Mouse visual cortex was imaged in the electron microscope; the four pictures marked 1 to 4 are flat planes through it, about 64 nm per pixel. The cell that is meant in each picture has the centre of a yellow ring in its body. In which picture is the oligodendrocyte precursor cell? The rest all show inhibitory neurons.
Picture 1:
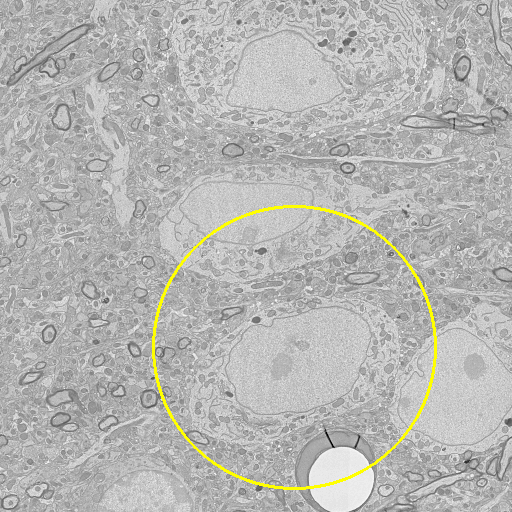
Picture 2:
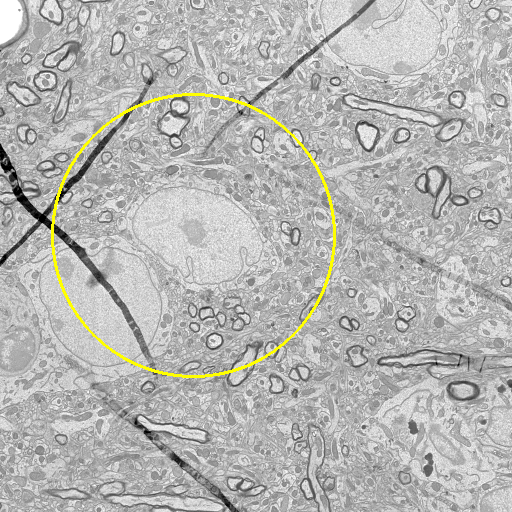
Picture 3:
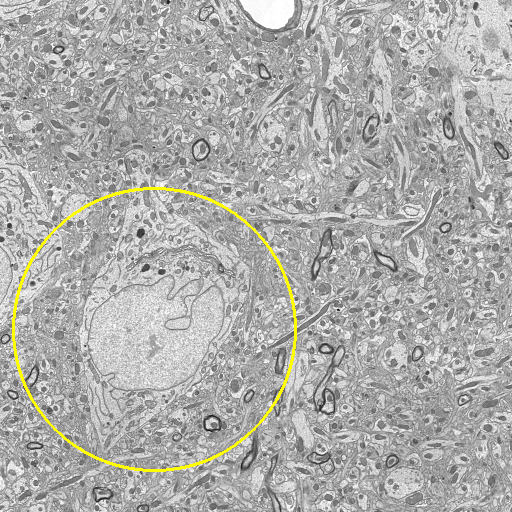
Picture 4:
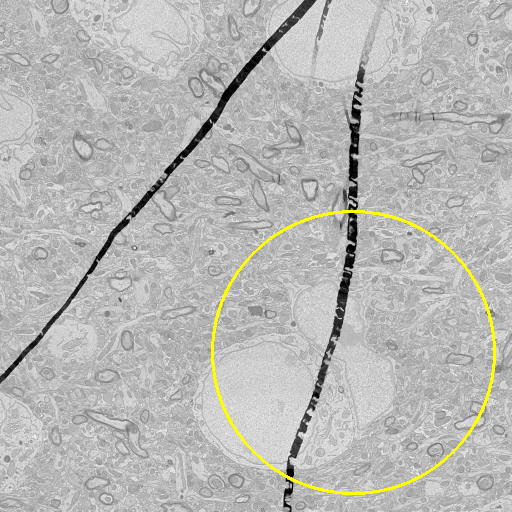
Picture 4 shows the oligodendrocyte precursor cell.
